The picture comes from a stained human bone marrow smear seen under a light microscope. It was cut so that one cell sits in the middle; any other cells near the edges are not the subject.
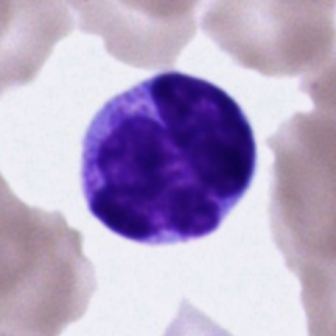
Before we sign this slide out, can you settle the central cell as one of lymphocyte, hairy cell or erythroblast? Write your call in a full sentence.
The cell nearest the centre of this crop is a lymphocyte.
